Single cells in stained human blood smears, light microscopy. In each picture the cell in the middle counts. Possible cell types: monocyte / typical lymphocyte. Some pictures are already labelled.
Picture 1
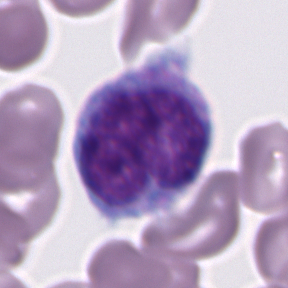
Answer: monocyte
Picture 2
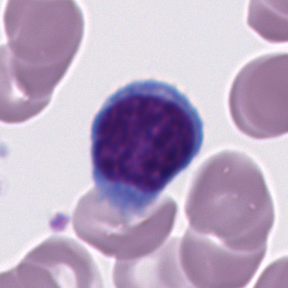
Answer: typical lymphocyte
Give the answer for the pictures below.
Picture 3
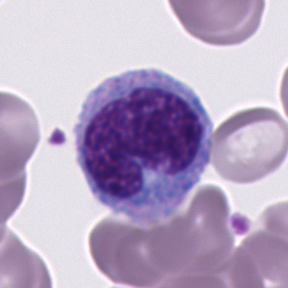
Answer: monocyte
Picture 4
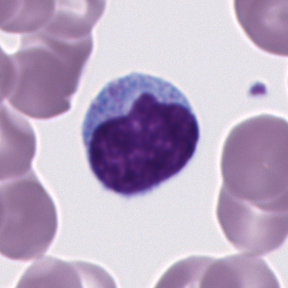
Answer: typical lymphocyte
